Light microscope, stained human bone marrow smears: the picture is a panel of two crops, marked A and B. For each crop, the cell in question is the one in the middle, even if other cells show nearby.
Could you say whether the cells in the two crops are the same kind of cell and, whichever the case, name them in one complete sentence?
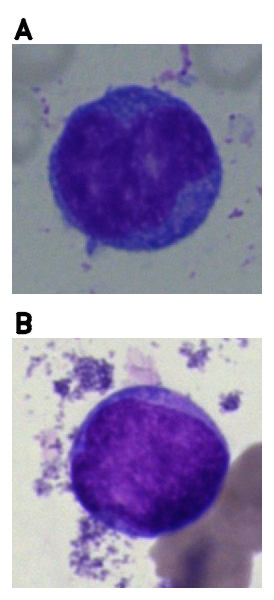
Yes, put down blasts for both crops.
